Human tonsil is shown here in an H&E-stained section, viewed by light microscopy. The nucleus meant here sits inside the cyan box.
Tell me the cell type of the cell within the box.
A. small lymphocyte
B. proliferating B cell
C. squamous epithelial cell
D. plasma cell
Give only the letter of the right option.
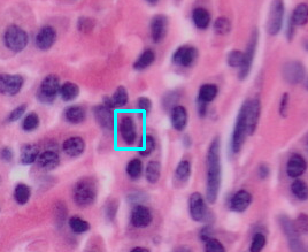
D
